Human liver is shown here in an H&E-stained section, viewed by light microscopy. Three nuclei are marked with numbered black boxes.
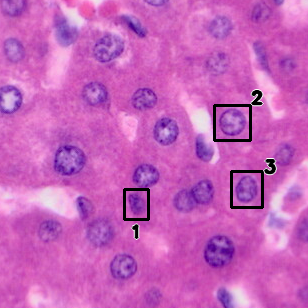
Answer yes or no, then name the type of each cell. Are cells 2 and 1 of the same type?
No, cell 2 is a hepatocyte, and cell 1, on the other hand, is a fibroblast or stellate cell.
